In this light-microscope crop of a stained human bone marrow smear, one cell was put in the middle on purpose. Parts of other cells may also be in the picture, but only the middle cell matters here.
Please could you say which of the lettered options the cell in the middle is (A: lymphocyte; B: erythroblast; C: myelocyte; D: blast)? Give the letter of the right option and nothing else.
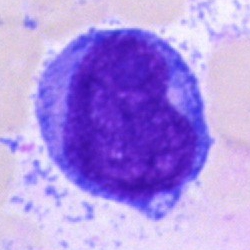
D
